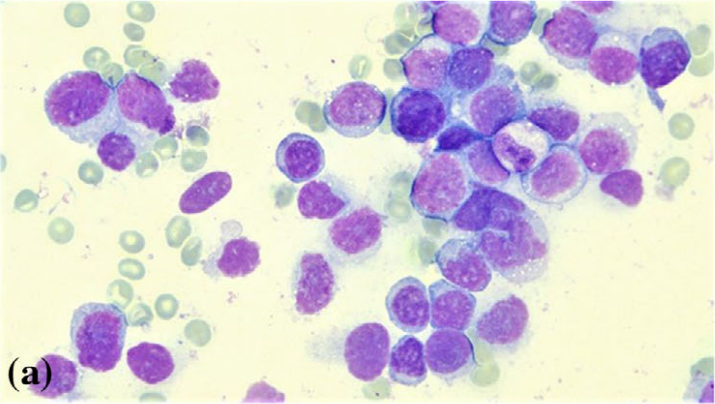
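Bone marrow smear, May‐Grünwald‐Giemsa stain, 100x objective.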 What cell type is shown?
Blast‐like cells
